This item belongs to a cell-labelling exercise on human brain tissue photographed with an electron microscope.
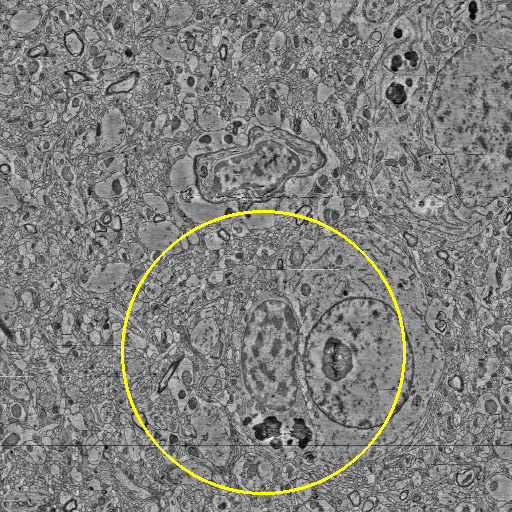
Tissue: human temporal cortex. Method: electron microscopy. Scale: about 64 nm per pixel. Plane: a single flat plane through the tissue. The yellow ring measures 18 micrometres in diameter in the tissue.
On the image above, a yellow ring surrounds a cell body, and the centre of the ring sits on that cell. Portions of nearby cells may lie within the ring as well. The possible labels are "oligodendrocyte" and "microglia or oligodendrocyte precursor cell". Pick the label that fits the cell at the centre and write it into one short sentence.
This cell should be labelled as an oligodendrocyte.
